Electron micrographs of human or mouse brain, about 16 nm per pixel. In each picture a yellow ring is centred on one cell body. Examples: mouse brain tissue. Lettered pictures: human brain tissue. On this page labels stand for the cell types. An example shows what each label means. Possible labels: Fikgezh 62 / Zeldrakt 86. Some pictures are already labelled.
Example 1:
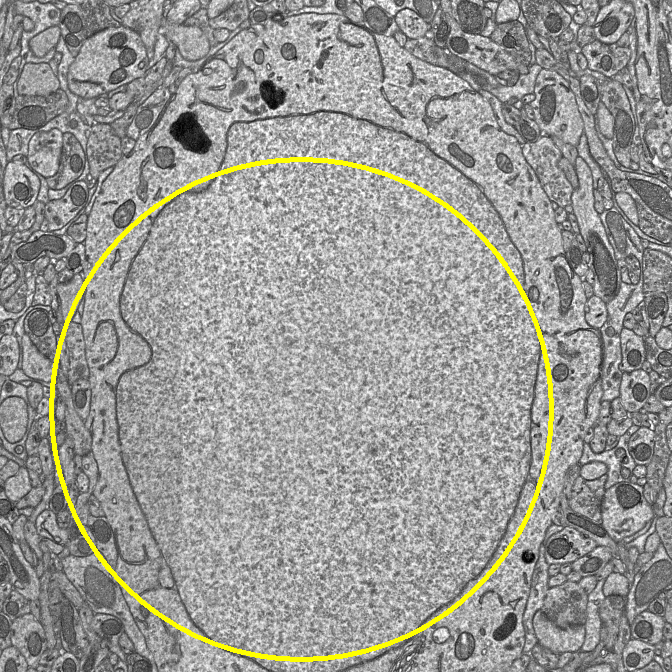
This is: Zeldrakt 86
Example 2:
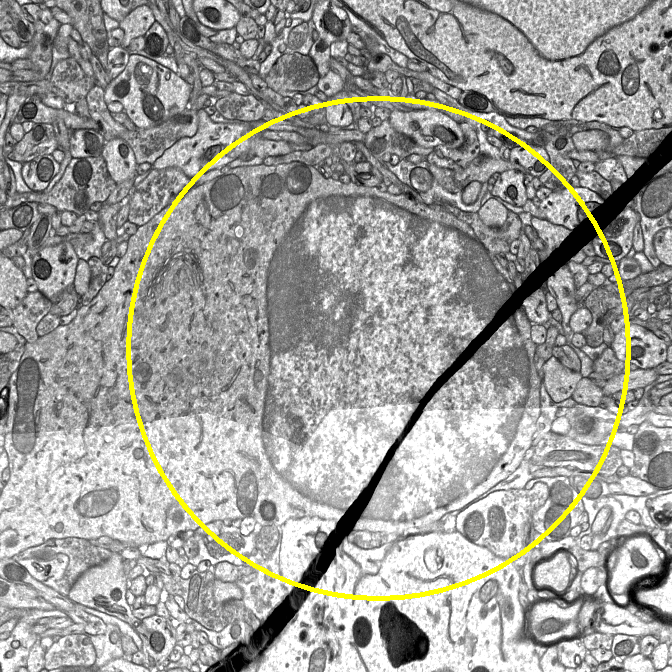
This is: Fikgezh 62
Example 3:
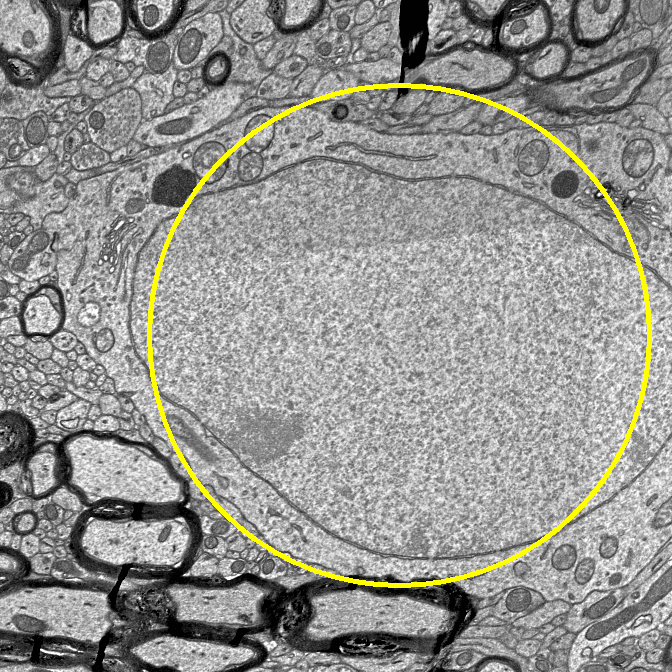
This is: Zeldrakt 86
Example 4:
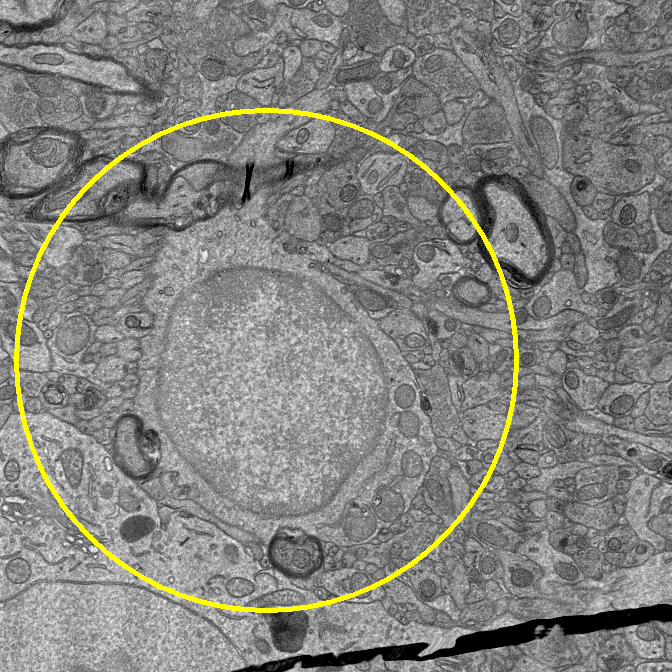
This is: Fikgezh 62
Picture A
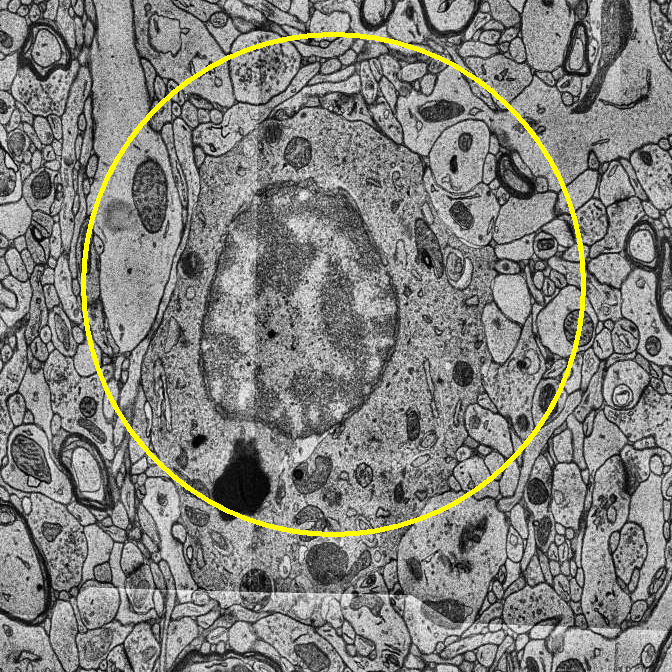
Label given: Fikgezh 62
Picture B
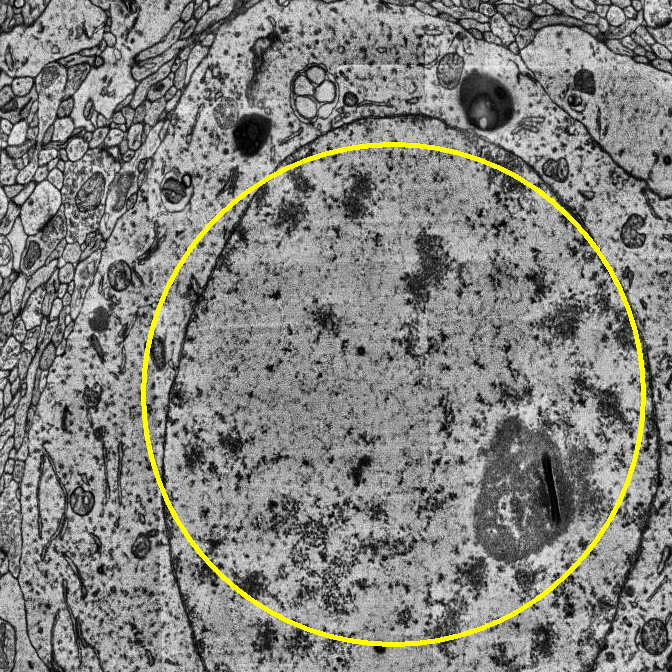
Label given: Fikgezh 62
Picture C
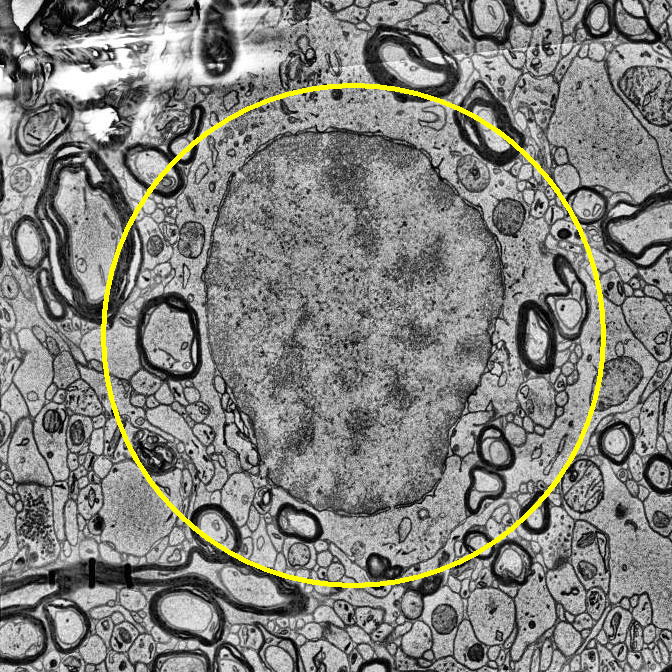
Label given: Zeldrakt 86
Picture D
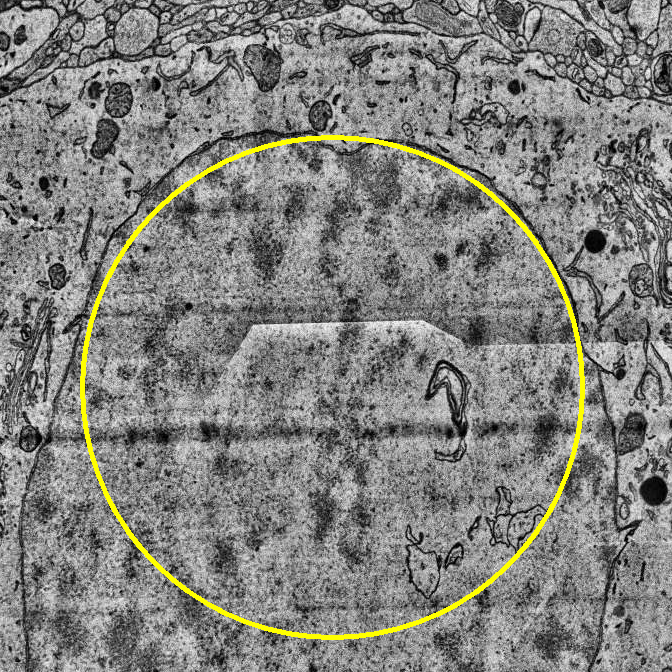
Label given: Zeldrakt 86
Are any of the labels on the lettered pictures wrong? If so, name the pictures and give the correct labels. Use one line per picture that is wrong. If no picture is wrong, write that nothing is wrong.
B: not Fikgezh 62 but Zeldrakt 86
C: not Zeldrakt 86 but Fikgezh 62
